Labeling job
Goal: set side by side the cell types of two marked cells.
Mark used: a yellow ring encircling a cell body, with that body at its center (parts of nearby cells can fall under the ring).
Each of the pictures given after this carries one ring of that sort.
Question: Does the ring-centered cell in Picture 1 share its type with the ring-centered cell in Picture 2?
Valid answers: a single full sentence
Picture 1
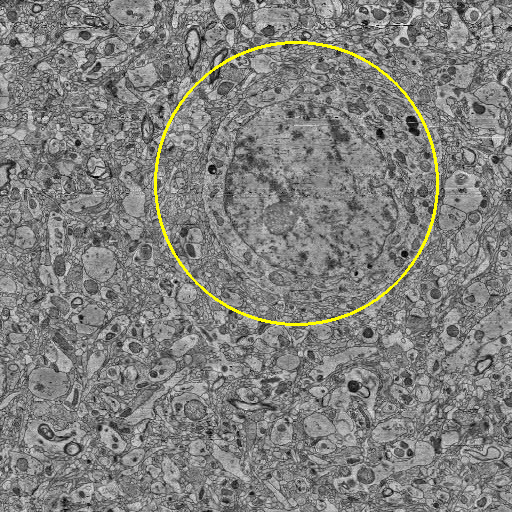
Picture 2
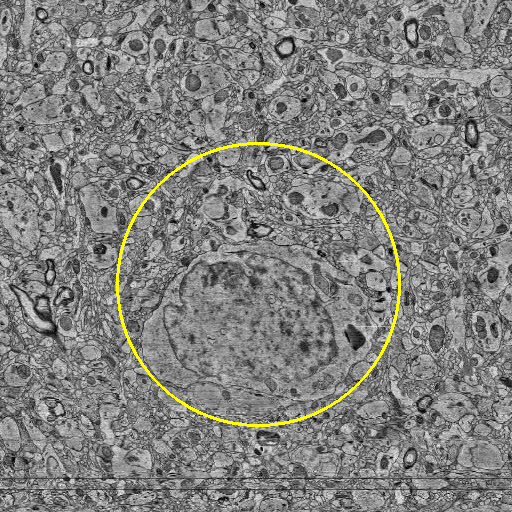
Yes, in Pictures 1 and 2 the cells at the ring centers share one type.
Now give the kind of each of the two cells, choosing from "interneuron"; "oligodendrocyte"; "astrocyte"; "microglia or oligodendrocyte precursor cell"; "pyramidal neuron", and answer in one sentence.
In the first picture and in the second, the ring is centred on an interneuron.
